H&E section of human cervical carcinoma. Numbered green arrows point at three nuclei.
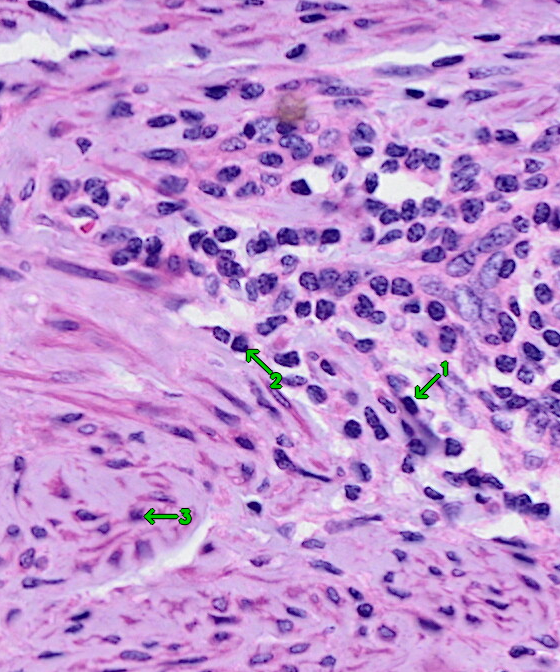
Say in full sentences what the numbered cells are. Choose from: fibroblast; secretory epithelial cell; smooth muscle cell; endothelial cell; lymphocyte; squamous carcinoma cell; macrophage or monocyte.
Cells 1 and 2 are lymphocytes. Cell 3 is a smooth muscle cell.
